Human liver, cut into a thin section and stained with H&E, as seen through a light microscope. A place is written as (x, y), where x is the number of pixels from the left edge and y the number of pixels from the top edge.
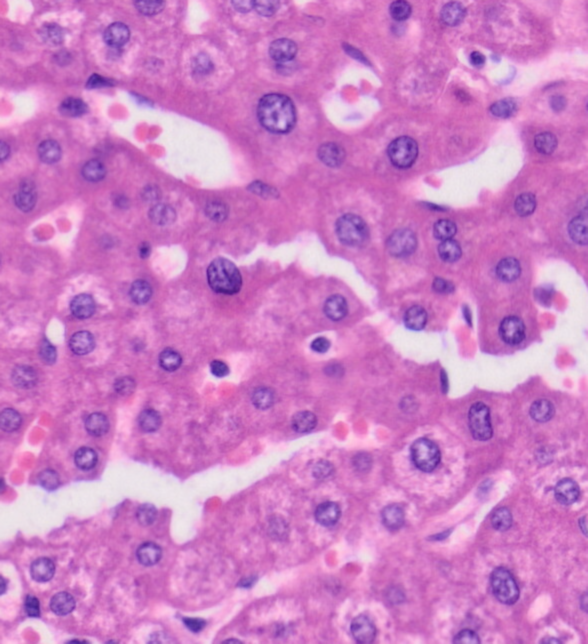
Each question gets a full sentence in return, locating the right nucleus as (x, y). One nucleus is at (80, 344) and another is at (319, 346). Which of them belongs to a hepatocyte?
Of these two nuclei, only the one at (80, 344) belongs to a hepatocyte.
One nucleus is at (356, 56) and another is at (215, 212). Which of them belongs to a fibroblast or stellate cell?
Identified as belonging to a fibroblast or stellate cell is the nucleus at (356, 56).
